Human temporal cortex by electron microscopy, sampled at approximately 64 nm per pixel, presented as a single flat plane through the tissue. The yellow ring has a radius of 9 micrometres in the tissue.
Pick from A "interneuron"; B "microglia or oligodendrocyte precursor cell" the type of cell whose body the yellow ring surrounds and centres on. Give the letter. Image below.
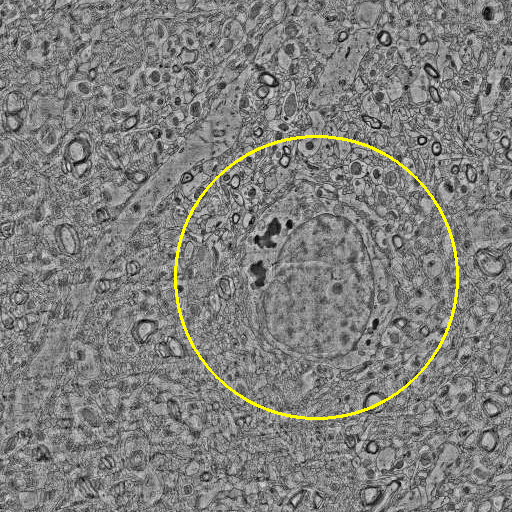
A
